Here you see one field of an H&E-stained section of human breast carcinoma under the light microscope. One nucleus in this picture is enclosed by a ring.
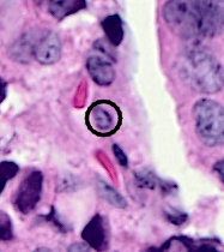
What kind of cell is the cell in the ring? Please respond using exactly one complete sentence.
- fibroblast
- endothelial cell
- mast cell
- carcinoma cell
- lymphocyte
Assigned to a cell type, the cell in the ring is an endothelial cell.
